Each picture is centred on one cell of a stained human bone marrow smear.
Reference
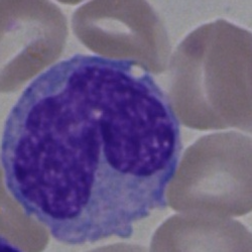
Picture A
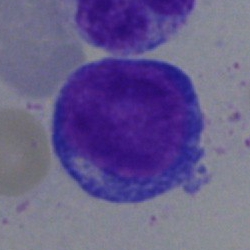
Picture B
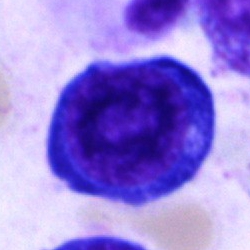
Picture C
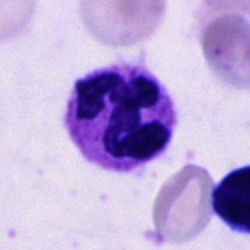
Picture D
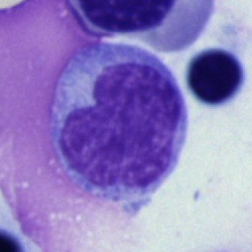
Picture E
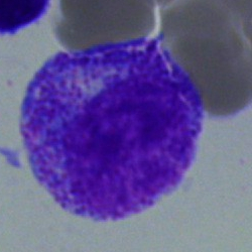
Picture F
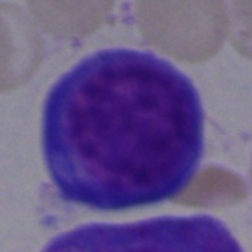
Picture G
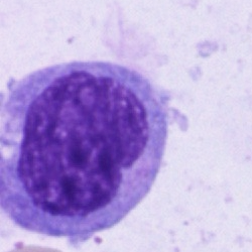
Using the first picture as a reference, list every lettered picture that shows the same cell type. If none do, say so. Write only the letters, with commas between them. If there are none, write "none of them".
D, G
